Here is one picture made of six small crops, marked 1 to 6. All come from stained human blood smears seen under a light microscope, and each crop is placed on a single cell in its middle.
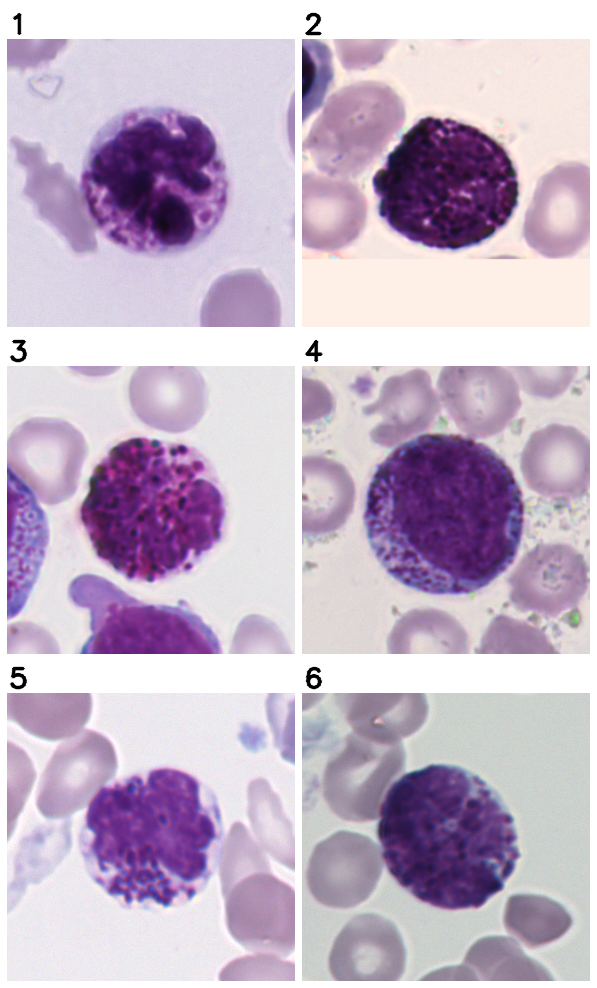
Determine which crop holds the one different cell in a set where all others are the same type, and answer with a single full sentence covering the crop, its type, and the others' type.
Whereas the other crops show basophils, crop 4 is a promyelocyte.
